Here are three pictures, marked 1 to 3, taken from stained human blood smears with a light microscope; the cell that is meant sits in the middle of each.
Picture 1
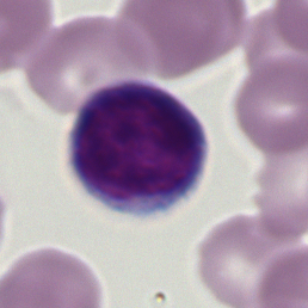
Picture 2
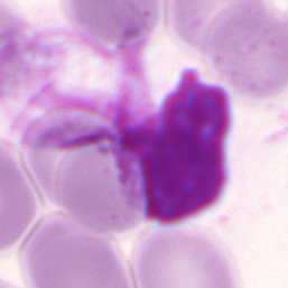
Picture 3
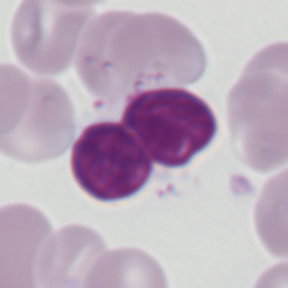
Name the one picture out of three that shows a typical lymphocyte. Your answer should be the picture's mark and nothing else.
1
